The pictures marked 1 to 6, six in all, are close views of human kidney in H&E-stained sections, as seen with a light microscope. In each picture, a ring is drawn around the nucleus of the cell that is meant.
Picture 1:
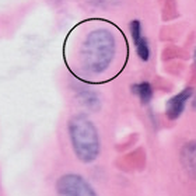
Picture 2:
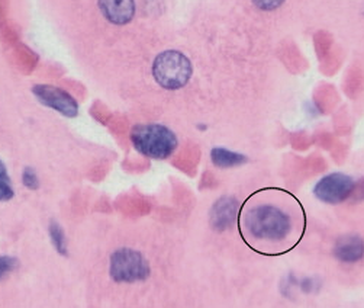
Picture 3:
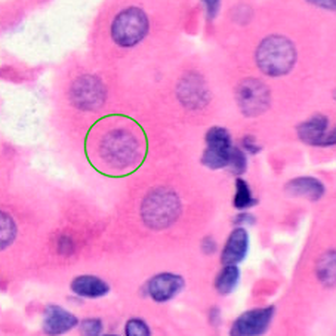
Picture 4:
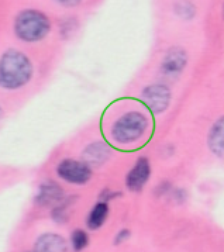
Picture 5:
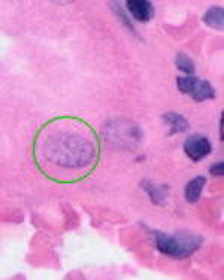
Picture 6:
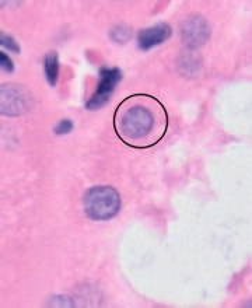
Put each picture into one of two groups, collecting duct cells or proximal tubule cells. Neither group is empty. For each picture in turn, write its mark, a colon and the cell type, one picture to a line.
1: collecting duct cell
2: proximal tubule cell
3: proximal tubule cell
4: collecting duct cell
5: proximal tubule cell
6: proximal tubule cell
